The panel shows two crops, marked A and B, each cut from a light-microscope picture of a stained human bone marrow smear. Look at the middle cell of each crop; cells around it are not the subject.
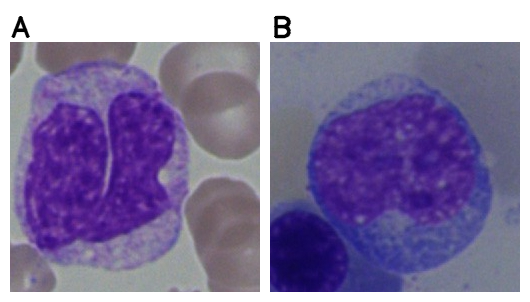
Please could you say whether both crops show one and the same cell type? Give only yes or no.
no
